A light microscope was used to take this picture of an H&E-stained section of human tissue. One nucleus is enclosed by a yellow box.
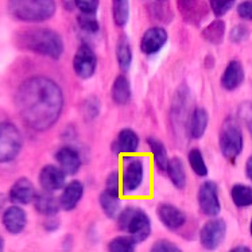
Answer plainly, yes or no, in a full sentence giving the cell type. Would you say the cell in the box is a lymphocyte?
Yes, in terms of cell type, the cell in the box is a lymphocyte.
